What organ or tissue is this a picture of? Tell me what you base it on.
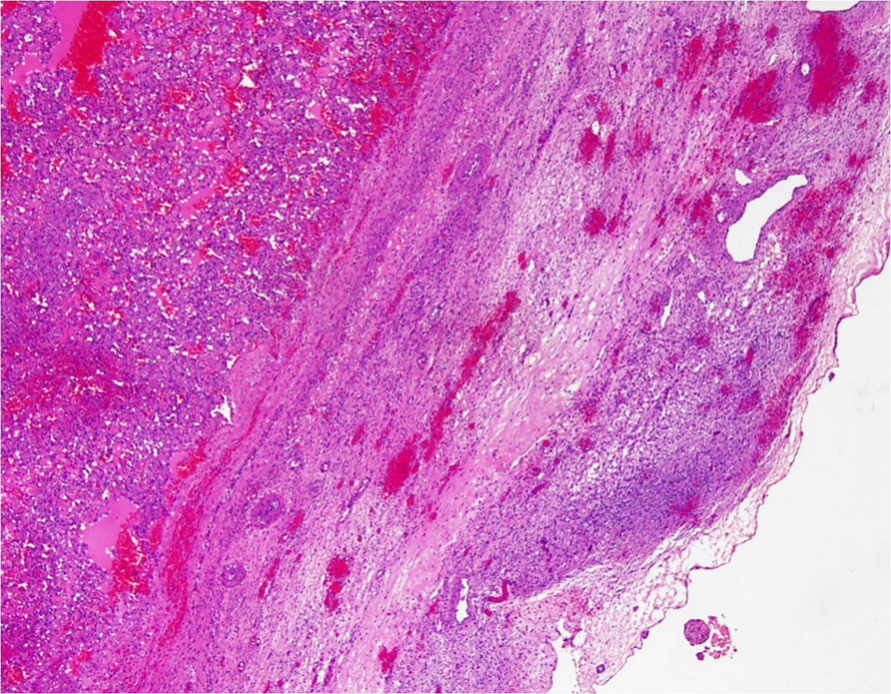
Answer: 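Scattered small vessels lie within the stroma.
Ovarian parenchyma.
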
